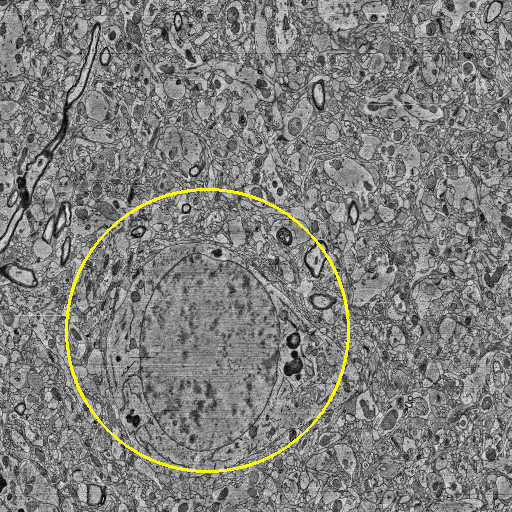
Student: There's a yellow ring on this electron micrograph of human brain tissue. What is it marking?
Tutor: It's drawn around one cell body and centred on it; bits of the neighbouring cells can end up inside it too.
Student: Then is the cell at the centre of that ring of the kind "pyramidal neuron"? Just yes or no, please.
yes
